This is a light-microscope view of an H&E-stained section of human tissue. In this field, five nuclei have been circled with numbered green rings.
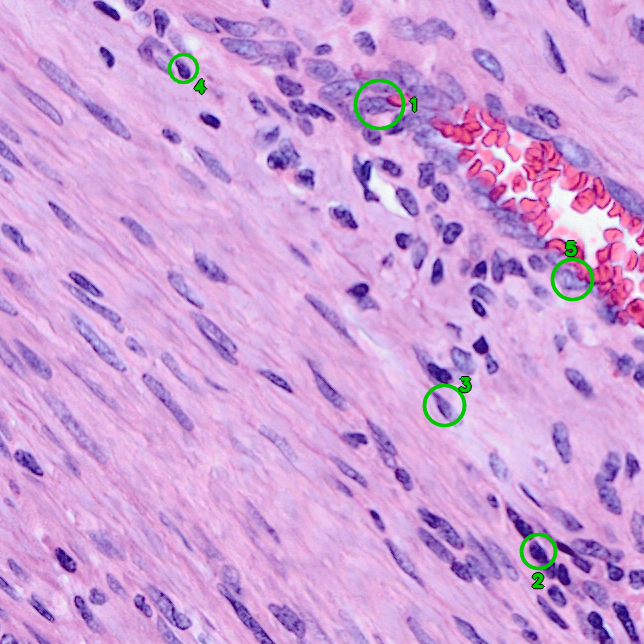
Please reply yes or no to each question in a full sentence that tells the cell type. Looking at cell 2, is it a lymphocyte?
Yes, the cell numbered 2 in this tissue is a lymphocyte.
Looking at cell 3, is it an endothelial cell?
No, number 3 is not an endothelial cell but a fibroblast.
